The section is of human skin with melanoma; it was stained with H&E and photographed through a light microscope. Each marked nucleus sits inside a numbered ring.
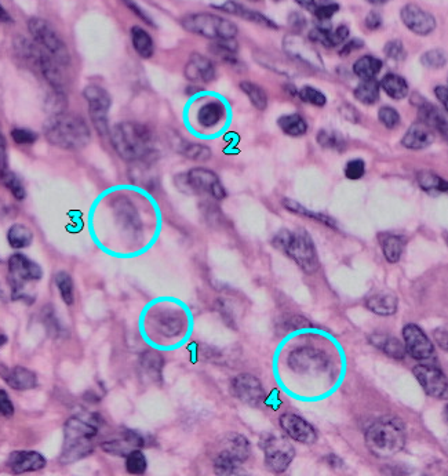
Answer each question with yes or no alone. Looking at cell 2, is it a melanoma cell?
no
